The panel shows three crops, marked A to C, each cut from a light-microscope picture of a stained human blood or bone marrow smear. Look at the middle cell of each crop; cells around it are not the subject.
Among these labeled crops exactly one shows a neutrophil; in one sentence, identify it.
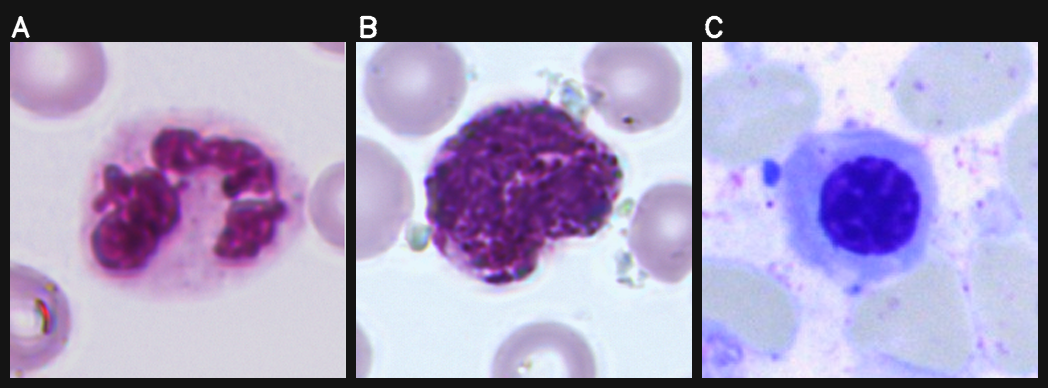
Crop A is the one that shows a neutrophil.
